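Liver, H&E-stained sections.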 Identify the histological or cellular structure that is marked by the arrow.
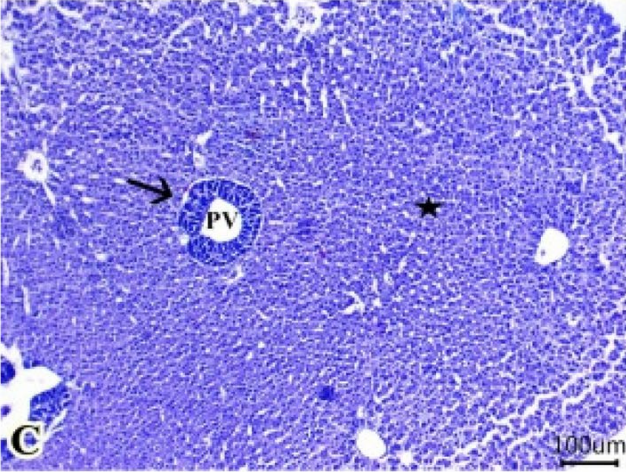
Pancreatic acini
